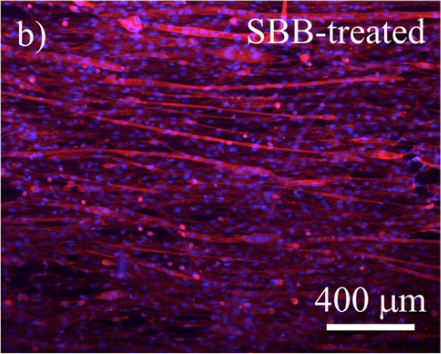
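Cultured muscle cells have formed myotubes, visible as long, slender red fibres running roughly horizontally and parallel to one another. Many blue nuclei are densely scattered throughout the field between and along the fibres.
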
